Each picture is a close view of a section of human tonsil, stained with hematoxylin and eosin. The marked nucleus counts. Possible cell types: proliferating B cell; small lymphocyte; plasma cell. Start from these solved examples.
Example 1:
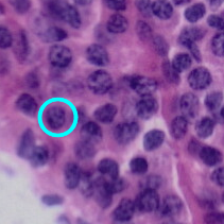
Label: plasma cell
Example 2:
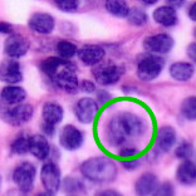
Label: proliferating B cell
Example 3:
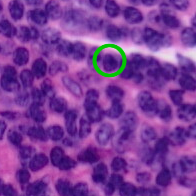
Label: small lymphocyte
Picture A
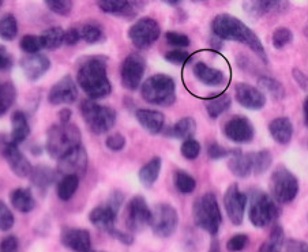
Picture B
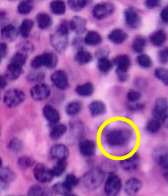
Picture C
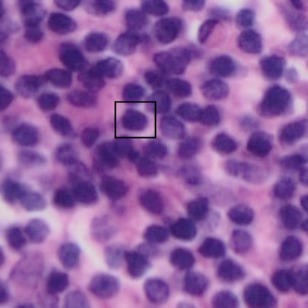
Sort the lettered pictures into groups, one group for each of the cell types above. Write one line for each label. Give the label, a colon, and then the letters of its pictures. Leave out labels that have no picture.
proliferating B cell: A, B
small lymphocyte: C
